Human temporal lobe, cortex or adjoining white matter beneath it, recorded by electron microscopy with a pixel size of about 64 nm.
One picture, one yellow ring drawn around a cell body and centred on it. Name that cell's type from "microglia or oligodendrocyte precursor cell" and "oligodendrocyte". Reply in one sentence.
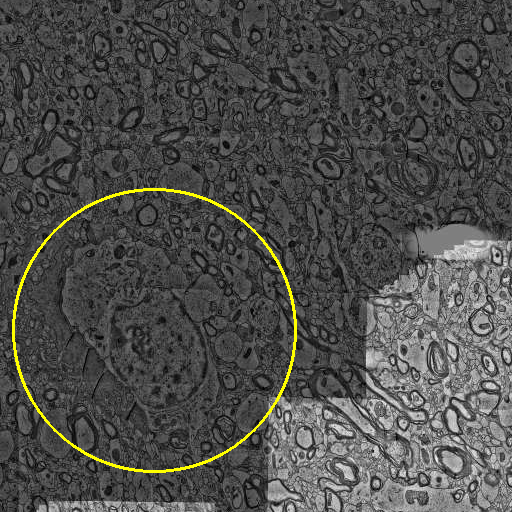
Centred in the ring is a microglial cell or oligodendrocyte precursor cell.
